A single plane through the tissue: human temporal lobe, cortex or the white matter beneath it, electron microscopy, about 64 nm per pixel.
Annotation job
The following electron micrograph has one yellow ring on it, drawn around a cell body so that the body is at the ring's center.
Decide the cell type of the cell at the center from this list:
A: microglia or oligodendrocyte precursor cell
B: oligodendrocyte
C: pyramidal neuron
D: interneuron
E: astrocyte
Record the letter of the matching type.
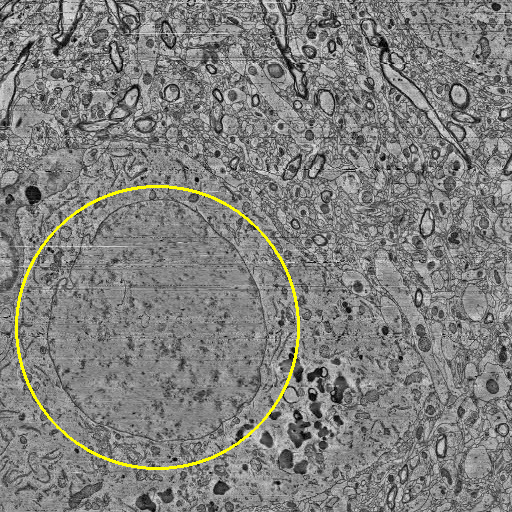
C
